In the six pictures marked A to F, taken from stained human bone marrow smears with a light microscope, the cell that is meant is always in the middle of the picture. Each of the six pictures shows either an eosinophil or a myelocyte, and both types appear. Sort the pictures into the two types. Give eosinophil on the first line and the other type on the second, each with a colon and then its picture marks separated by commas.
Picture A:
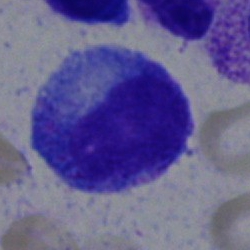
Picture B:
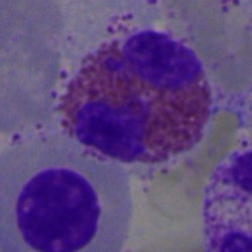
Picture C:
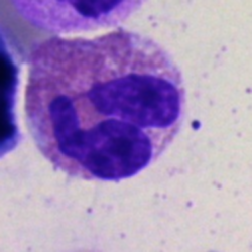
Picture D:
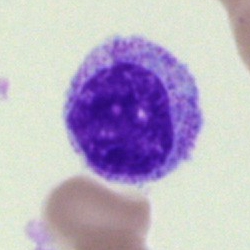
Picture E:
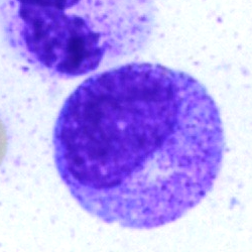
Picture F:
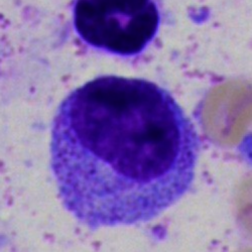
eosinophil: B, C
myelocyte: A, D, E, F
